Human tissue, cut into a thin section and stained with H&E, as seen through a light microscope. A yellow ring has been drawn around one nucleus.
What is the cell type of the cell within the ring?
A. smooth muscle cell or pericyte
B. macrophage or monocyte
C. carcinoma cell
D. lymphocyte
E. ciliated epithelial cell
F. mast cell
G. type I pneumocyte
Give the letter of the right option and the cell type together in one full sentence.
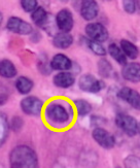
Option D is right in classifying the cell within the ring as a lymphocyte.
